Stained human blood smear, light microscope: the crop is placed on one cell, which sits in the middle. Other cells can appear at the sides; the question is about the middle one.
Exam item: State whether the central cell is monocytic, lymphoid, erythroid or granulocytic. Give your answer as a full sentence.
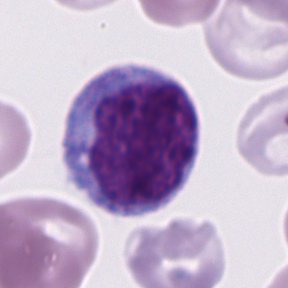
The middle cell of the crop arises from the monocytic lineage.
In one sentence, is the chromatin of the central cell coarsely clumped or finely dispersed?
The chromatin of this one is coarsely clumped.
